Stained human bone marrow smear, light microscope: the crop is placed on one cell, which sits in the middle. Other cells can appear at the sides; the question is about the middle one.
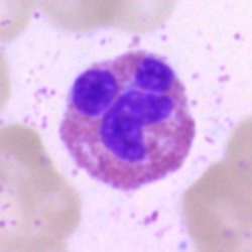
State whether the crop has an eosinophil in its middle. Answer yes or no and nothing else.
yes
